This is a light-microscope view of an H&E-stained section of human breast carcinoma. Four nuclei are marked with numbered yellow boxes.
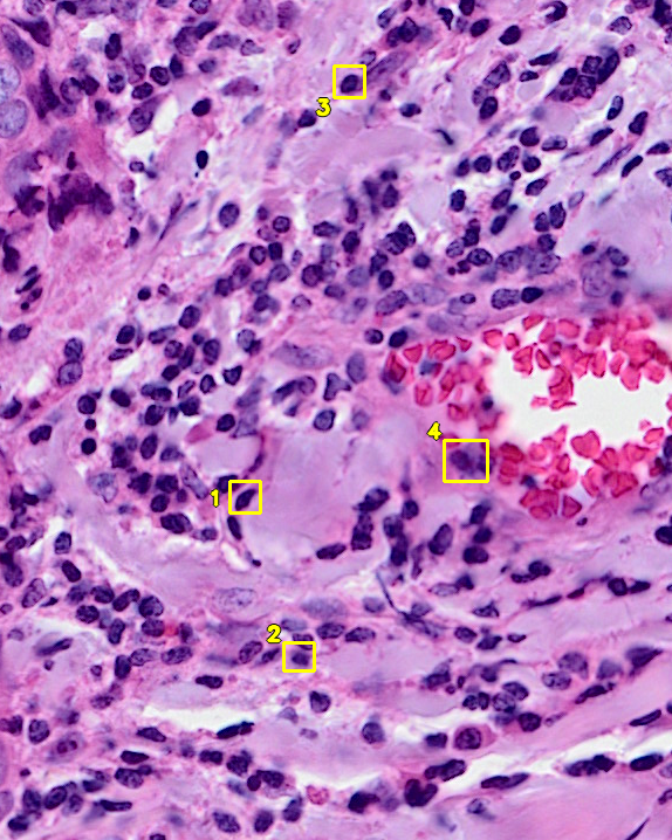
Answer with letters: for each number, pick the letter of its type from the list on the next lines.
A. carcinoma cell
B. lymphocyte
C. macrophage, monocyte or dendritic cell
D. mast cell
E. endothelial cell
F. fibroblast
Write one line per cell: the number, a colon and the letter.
1: B
2: B
3: B
4: E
